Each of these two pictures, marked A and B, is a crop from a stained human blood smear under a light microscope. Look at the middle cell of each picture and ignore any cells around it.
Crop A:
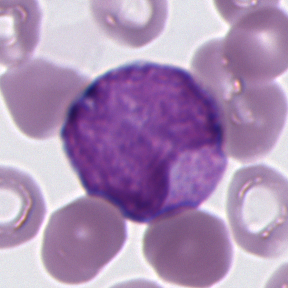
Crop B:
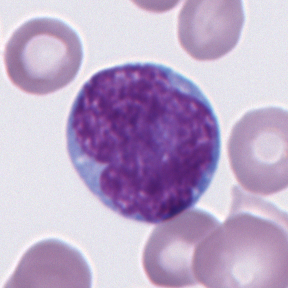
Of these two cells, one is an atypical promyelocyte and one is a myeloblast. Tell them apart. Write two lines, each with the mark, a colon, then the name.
A: atypical promyelocyte
B: myeloblast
